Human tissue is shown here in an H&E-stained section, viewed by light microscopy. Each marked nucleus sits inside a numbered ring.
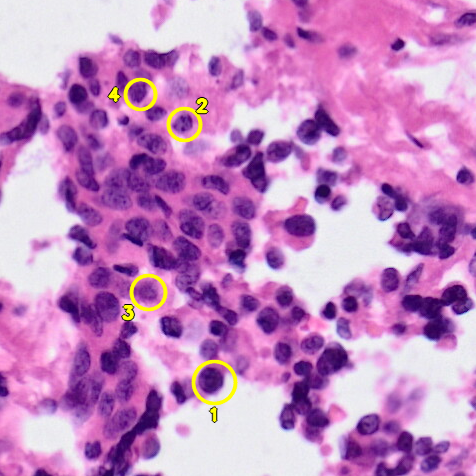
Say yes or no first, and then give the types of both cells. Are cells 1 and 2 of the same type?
No, cell number 1 is a carcinoma cell, and cell number 2 is a macrophage or monocyte.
